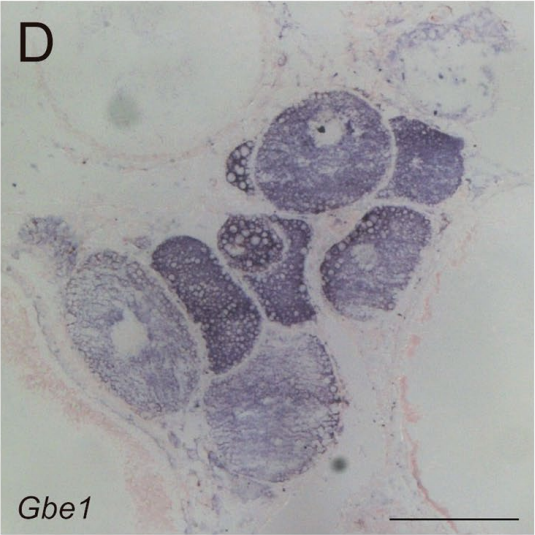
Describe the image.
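Ovary with a group of previtellogenic oocytes stained dark purple, set among unstained large oocytes. The stained oocytes show a paler central nucleus and cytoplasm that is evenly or vacuolated, some with many small clear vacuoles at the periphery. Thin unstained layers and stroma separate the oocytes.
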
